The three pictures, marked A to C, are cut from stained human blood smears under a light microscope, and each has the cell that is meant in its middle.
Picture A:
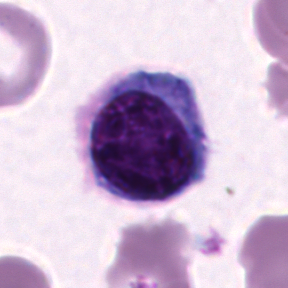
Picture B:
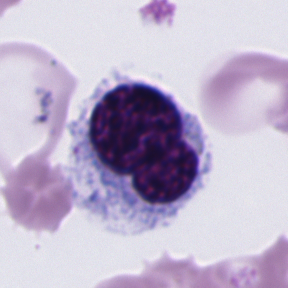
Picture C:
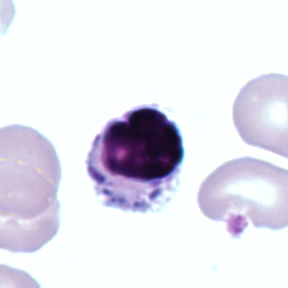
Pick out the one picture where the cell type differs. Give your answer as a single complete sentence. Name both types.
Picture A is the odd one out: it shows a plasma cell, while the others show normoblasts.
